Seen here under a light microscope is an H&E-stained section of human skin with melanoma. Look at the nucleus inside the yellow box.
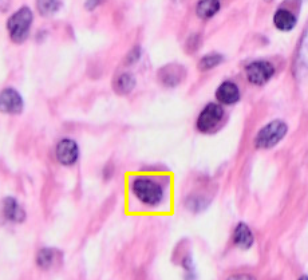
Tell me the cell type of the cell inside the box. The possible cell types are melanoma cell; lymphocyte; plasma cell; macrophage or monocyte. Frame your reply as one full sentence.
The classification of the cell inside the box is as a plasma cell.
